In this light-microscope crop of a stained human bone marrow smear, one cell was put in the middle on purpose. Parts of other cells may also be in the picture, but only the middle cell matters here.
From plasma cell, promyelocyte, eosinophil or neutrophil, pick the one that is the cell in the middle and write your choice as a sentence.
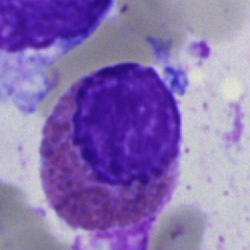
For this crop, the cell in the middle is an eosinophil.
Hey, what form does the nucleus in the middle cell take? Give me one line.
Between us, the nucleus here is just one compact mass, round, oval or kidney-shaped.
